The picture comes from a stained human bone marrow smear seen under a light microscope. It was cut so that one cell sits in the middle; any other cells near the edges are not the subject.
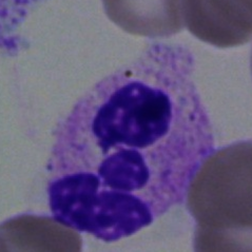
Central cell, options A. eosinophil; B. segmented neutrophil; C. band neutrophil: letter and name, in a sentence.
The cell right in the middle is a segmented neutrophil, so option B is the one.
